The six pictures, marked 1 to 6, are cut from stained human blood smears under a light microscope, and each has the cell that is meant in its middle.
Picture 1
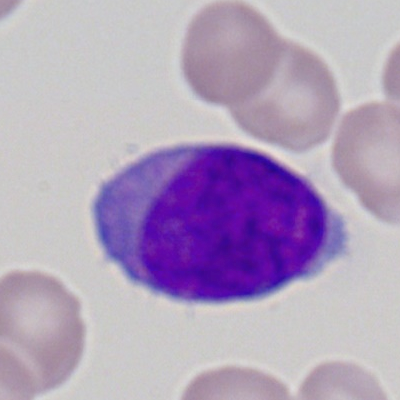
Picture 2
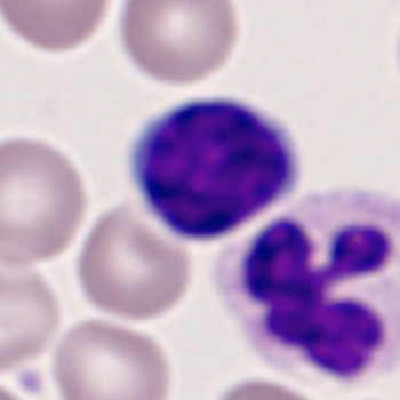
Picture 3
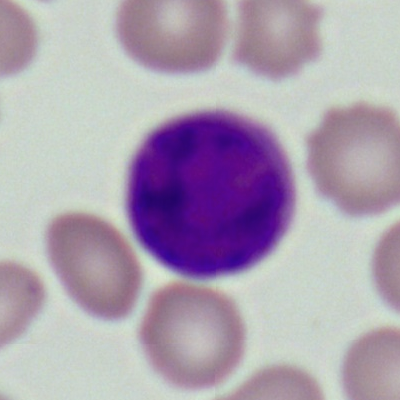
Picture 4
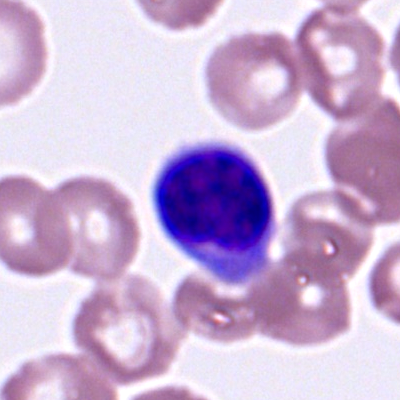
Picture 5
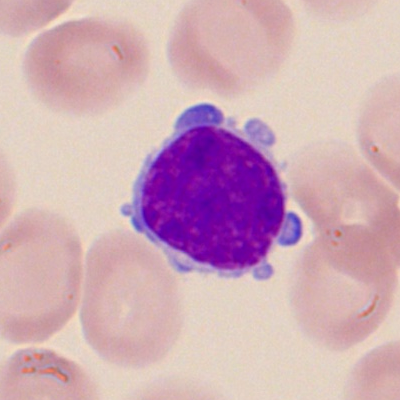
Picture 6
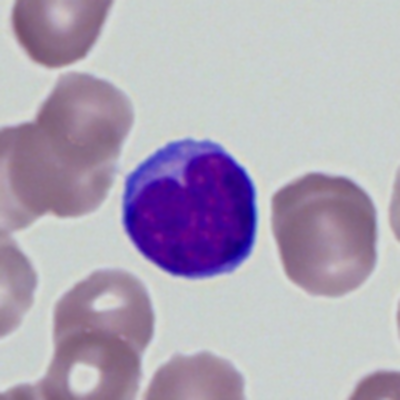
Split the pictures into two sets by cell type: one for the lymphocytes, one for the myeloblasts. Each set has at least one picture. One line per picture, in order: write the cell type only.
myeloblast
lymphocyte
myeloblast
lymphocyte
lymphocyte
lymphocyte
